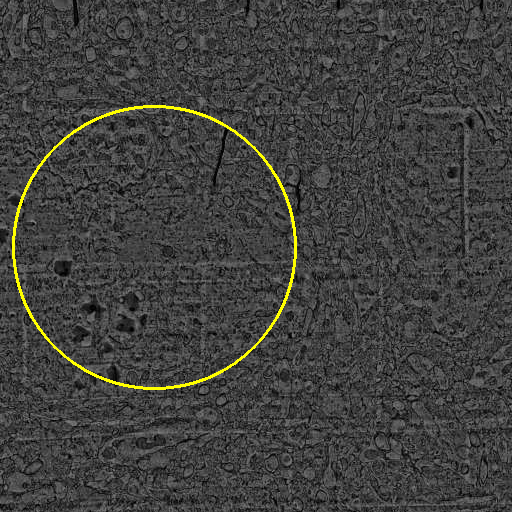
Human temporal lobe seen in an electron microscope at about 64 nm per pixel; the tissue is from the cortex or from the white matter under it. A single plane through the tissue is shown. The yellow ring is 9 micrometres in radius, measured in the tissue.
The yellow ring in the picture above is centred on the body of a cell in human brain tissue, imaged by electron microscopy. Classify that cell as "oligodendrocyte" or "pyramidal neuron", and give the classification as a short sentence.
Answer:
The cell in the middle of the ring is a pyramidal neuron.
